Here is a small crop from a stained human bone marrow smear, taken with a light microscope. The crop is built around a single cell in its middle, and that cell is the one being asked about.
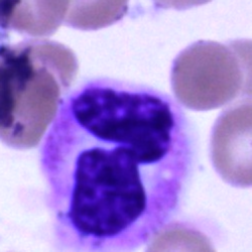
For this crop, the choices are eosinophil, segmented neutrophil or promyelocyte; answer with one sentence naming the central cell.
In the center of this field lies a segmented neutrophil.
